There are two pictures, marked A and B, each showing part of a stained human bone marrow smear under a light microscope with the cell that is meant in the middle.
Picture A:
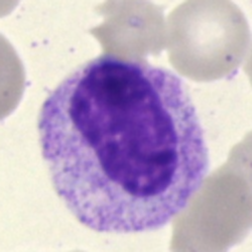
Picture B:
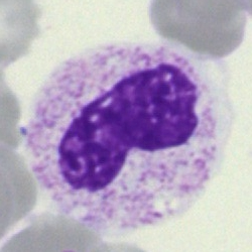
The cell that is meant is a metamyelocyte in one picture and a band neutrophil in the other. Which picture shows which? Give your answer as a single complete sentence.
Picture A is of a metamyelocyte, and picture B is of a band neutrophil.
